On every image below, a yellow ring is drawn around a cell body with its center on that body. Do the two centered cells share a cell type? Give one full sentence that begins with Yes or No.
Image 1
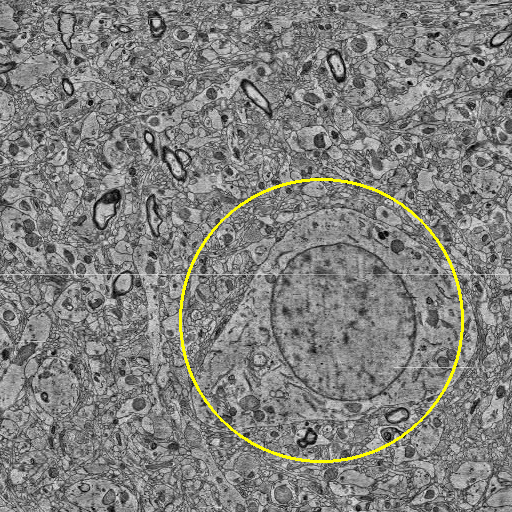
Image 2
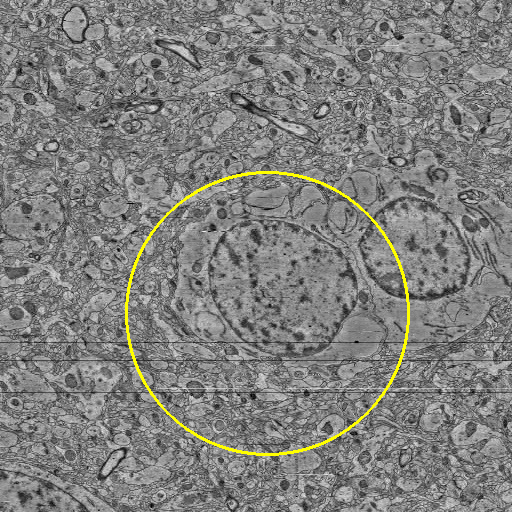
No, the centered cells in the two images are of two separate cell types.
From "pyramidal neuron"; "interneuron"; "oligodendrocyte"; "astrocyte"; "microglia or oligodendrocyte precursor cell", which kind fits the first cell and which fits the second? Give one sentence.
The cell marked in the first picture is a pyramidal neuron, and the one marked in the second is an astrocyte.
